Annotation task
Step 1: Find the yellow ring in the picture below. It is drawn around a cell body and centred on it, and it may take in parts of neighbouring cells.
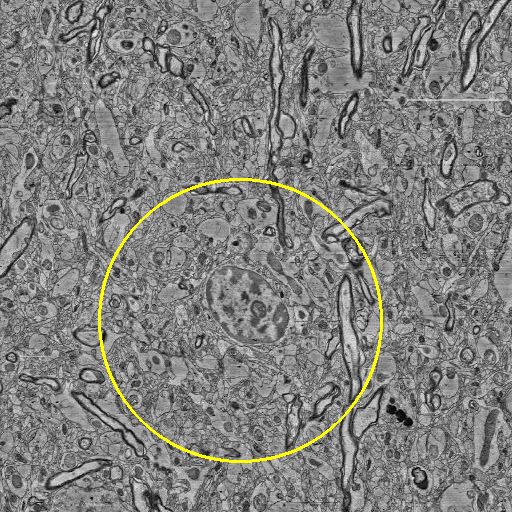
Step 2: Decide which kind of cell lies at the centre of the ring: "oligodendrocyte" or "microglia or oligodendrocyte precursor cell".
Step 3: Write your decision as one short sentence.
The kind of cell at the ring's centre is a microglial cell or oligodendrocyte precursor cell.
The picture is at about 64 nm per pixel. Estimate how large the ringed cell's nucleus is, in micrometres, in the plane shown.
The ringed cell's nucleus measures approximately 6 by 4 micrometres in this plane.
